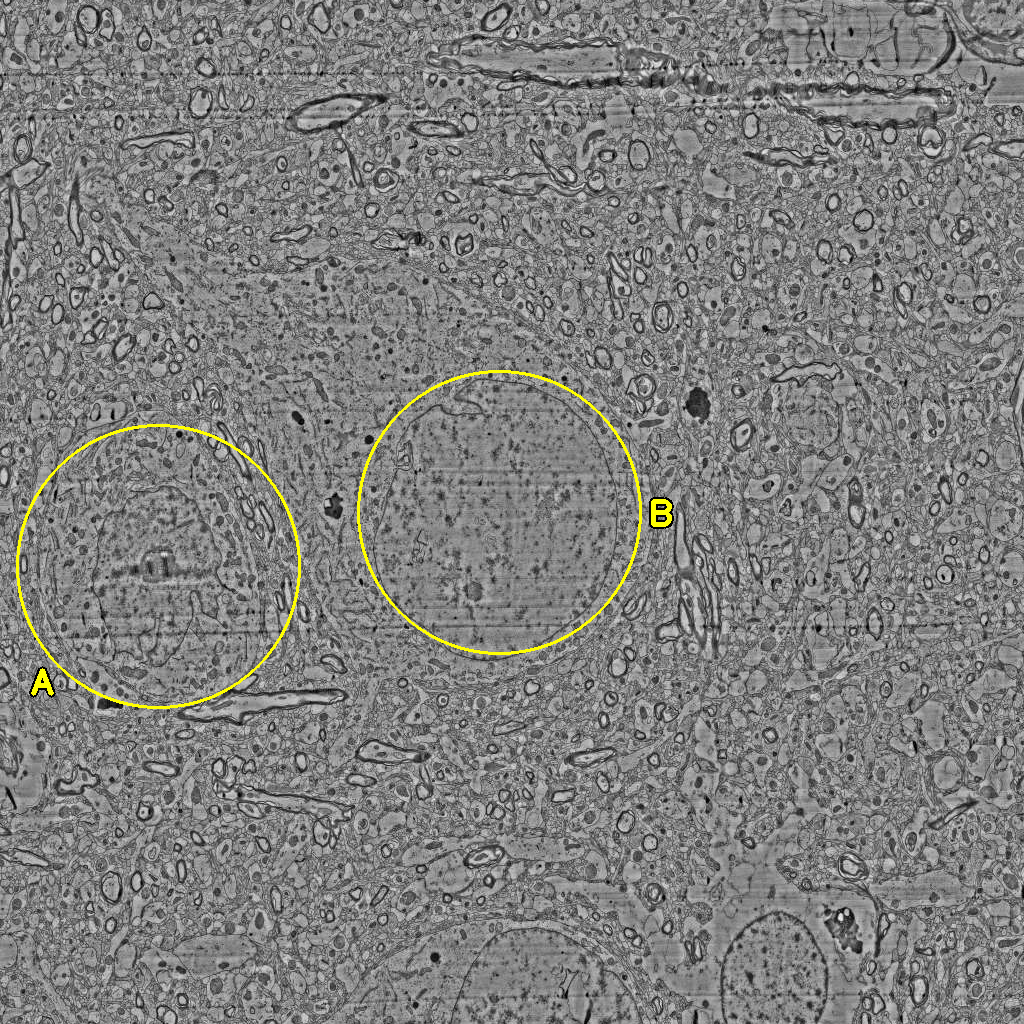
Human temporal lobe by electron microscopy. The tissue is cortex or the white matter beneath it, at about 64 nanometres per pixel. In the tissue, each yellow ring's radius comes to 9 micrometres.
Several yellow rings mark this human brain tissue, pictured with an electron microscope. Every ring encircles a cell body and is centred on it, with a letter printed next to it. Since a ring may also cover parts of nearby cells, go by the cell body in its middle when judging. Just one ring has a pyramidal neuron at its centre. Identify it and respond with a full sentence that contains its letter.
The answer is ring B, whose centre rests on the cell asked for.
